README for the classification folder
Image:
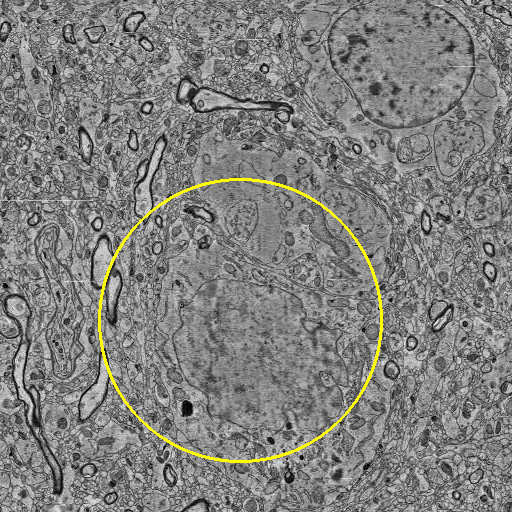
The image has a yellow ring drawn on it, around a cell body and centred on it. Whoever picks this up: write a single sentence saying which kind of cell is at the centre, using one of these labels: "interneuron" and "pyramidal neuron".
This cell body is that of an interneuron.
